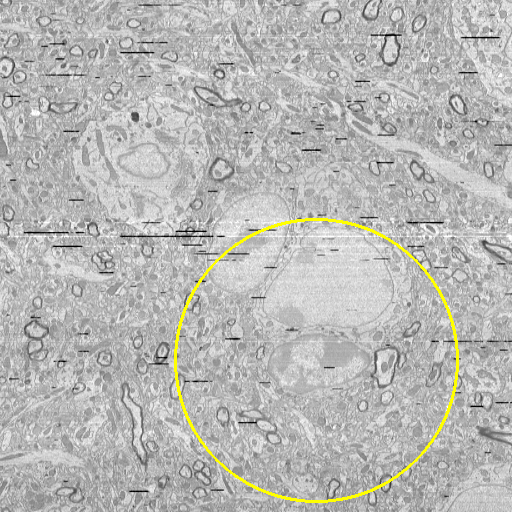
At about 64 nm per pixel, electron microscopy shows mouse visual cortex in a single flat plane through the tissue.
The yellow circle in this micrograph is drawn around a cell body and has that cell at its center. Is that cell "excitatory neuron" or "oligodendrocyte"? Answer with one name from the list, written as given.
oligodendrocyte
